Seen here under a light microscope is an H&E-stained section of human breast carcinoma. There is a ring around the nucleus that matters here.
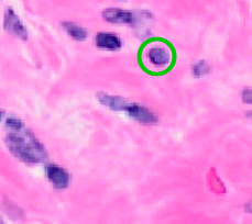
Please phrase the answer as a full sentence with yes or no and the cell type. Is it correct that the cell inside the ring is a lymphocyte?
Yes, that the cell inside the ring is a lymphocyte is correct.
